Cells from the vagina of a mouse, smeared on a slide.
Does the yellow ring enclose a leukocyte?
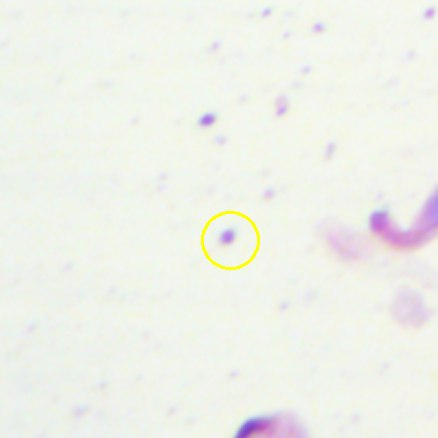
Yes. The ring encloses a leukocyte.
